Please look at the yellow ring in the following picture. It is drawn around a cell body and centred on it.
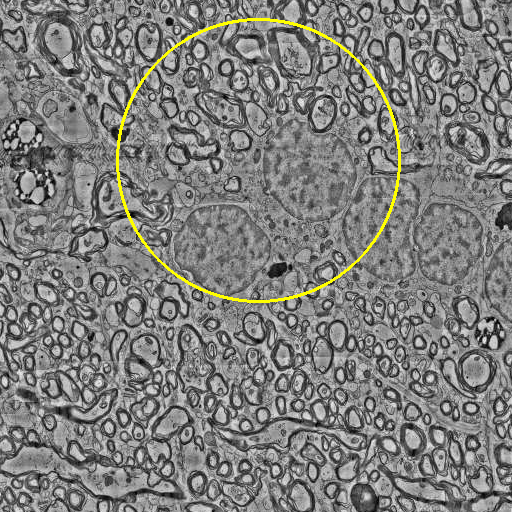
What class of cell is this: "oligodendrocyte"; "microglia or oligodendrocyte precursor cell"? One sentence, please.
The ring surrounds the cell body of an oligodendrocyte.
